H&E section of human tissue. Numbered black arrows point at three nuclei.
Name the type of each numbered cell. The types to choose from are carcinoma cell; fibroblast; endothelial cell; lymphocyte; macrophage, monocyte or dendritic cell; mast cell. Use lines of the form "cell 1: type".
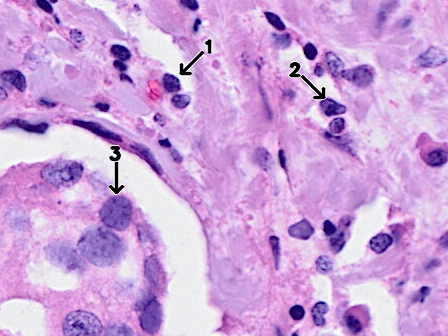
cell 1: lymphocyte
cell 2: lymphocyte
cell 3: carcinoma cell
